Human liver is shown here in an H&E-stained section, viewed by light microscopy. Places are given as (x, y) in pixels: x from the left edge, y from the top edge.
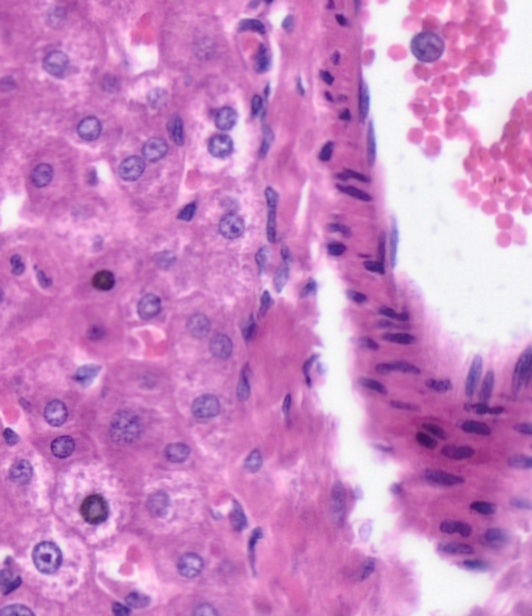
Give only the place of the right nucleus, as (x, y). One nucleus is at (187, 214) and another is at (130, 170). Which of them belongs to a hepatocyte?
(130, 170)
